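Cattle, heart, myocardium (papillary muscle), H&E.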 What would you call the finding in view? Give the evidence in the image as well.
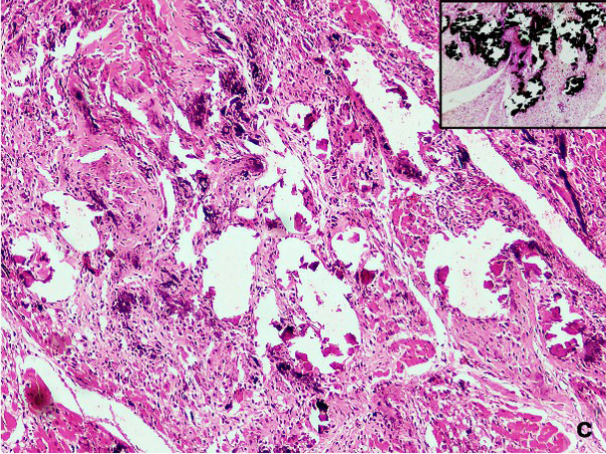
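Replacement by severe fibrous tissue. Pale pink fibrous tissue with spindle nuclei lies between remnants of red muscle fibres. Purple granular deposits are scattered in this tissue.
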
